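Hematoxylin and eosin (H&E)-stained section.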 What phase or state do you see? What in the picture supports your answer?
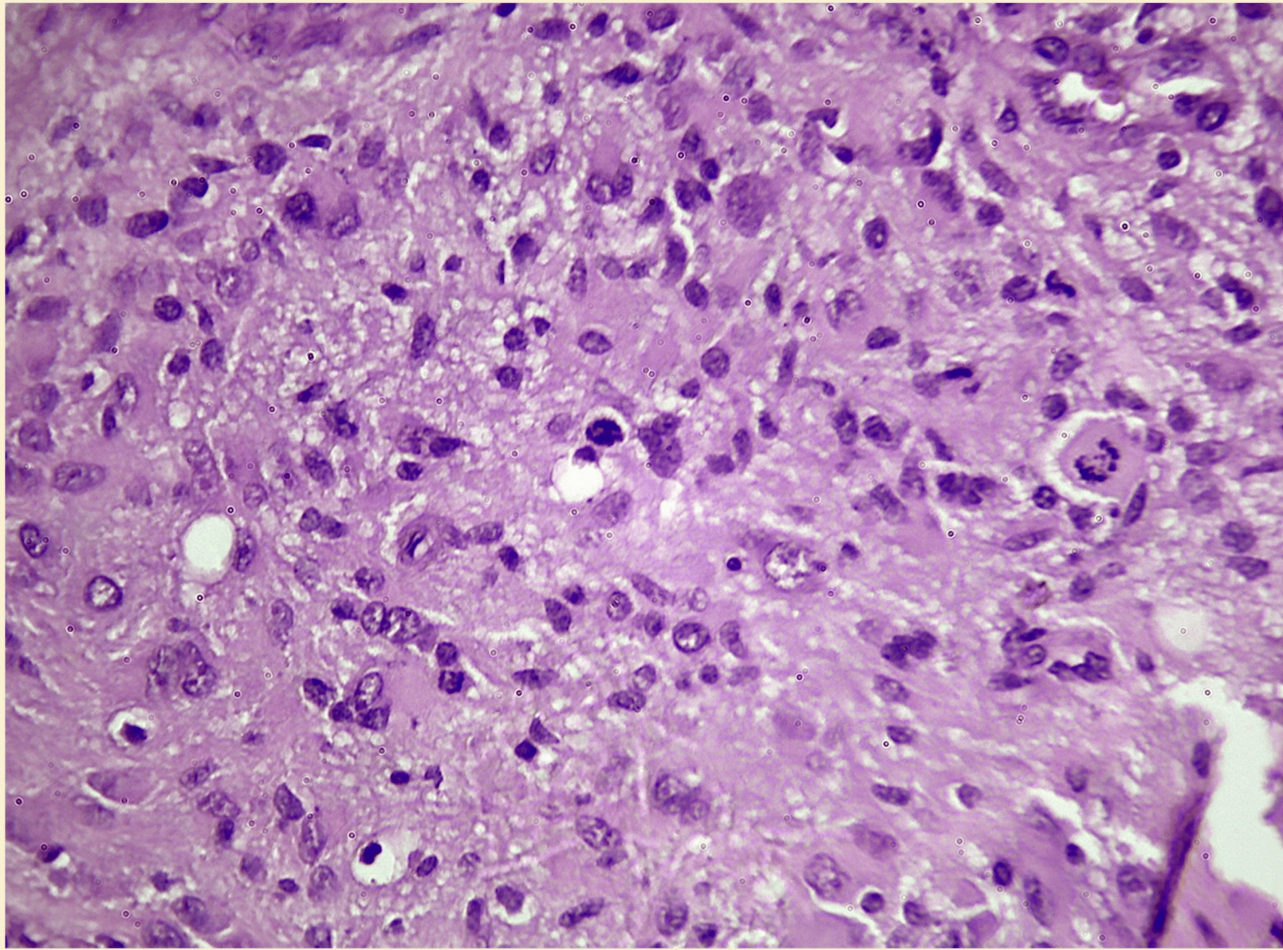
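Right of centre, one cell in a clear halo has clumped, condensed dark chromatin instead of a round nucleus. That points to this answer: mitotic figures.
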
